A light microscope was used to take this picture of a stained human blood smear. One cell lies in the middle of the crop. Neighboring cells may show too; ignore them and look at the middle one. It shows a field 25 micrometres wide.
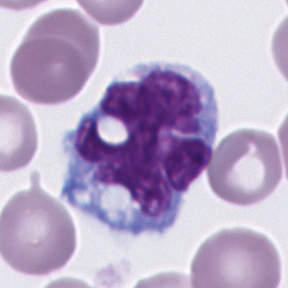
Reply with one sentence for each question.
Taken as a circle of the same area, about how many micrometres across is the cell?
Taken as a circle, the cell has a diameter of about 14 micrometres.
